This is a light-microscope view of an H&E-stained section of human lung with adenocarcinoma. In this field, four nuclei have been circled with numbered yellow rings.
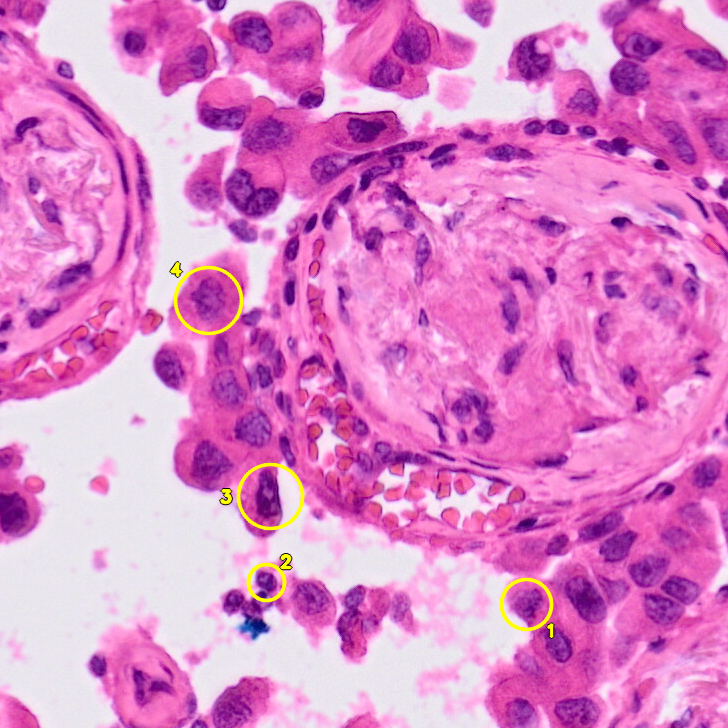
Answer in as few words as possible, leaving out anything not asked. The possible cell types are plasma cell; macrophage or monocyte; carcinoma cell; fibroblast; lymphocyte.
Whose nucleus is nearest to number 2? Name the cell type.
plasma cell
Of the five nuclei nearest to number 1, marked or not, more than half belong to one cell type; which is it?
carcinoma cell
